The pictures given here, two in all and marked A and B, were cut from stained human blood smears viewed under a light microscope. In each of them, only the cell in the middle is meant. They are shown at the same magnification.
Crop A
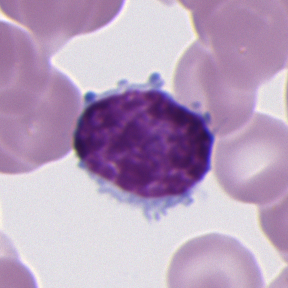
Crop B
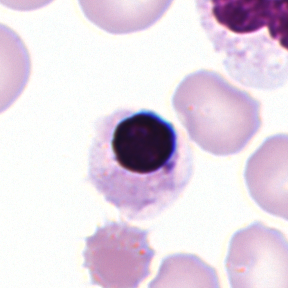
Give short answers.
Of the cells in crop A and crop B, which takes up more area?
A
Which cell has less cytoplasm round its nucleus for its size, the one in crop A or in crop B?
A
